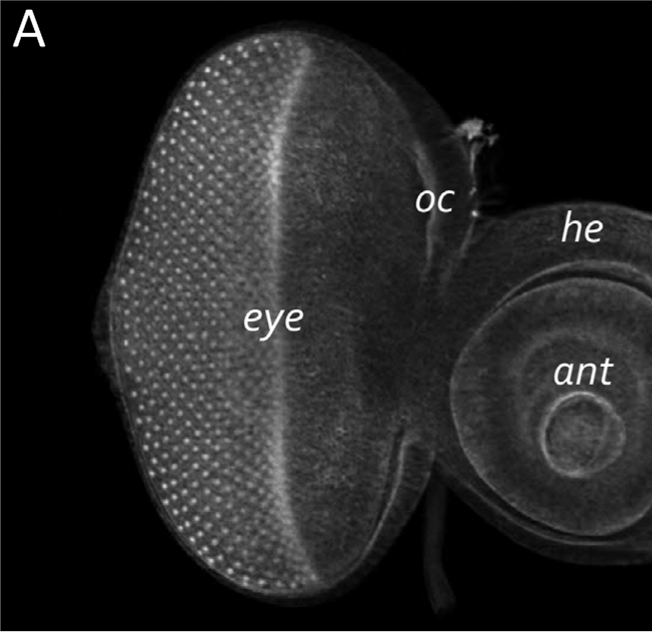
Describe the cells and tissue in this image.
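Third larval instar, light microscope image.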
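Over the left part of the oval lobe, bright dots lie in a regular, evenly spaced lattice of clusters. A bright vertical line crosses the oval lobe, and the tissue on its right side is finely textured, with no dot lattice. The rounded lobe shows several concentric rings around a small central circle.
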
